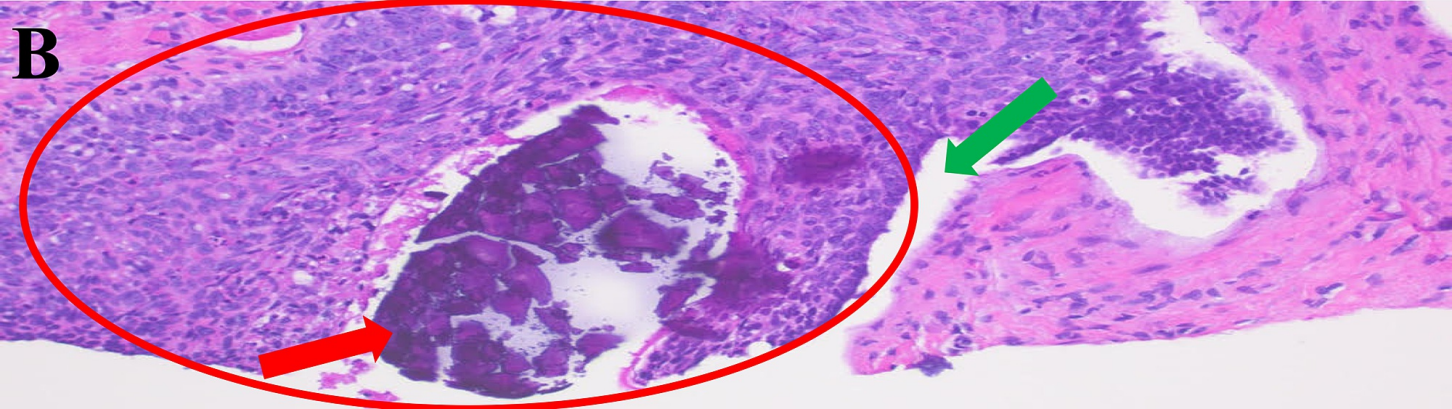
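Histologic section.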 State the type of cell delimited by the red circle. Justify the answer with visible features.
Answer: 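Basaloid tumor cells. Densely packed cells with dark oval nuclei and scant cytoplasm. The cells form a crowded purple sheet around the dark clumps.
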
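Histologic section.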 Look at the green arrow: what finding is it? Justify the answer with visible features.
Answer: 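An empty white cleft separates a nest of dark cells from the pink fibrous tissue. The nest edge and the pink tissue are pulled apart along their border.
Stromal retraction.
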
